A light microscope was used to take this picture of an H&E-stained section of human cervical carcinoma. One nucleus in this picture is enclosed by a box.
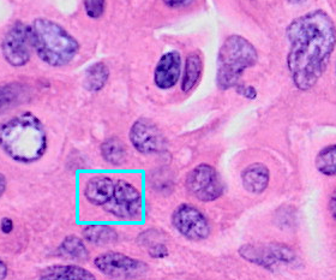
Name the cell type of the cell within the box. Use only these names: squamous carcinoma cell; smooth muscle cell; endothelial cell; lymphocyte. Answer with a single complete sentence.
This is a squamous carcinoma cell.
